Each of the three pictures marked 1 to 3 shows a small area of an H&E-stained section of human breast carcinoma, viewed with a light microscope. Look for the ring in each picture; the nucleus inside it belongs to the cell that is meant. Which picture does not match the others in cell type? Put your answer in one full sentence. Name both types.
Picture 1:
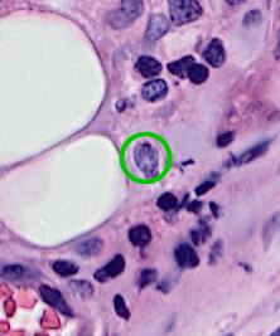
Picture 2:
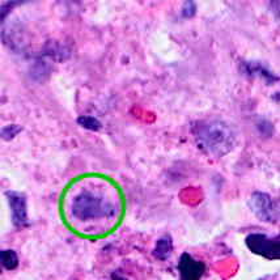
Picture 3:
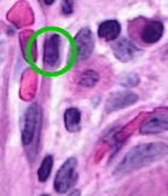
Unlike the rest, which show “macrophages, monocytes or dendritic cells”, picture 3 shows an endothelial cell.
